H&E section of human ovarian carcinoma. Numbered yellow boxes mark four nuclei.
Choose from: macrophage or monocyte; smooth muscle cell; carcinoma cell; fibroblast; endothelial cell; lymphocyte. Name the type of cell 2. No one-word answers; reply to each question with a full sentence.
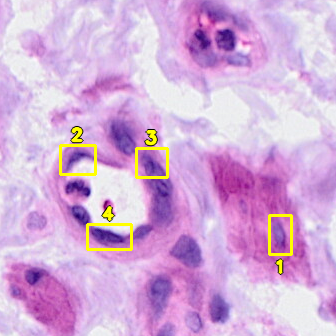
The cell given label 2 is an endothelial cell.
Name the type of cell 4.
The cell bearing label 4 corresponds to an endothelial cell.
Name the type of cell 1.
The cell indicated by marker 1 is a smooth muscle cell in this section.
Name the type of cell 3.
The expected answer is that cell 3 is an endothelial cell.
